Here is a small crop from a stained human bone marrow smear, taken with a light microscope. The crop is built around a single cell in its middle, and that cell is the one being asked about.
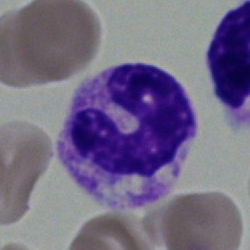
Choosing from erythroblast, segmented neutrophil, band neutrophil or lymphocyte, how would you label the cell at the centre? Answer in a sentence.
Present in the middle of the crop is a band neutrophil.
